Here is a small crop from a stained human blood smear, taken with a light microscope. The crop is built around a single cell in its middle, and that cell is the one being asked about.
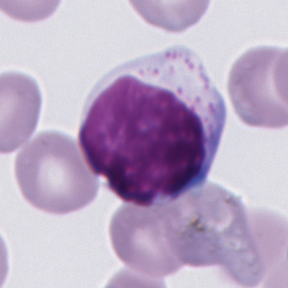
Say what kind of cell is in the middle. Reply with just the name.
large granular lymphocyte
